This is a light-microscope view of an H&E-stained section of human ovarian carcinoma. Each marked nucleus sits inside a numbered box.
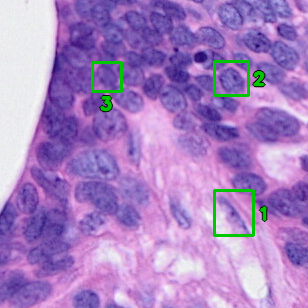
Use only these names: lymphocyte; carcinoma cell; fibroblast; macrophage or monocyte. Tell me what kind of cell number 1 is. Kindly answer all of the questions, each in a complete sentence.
Denoted by the label 1 in the section is a fibroblast.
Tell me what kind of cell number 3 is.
The cell that bears the number 3 is a carcinoma cell.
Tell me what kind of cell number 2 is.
The mark numbered 2 indicates the nucleus of a carcinoma cell.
